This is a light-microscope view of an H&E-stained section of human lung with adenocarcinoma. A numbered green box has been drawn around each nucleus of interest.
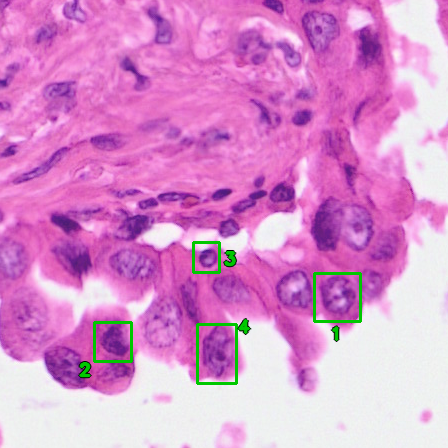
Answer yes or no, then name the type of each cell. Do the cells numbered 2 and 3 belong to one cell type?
No, cell 2 is identified as a carcinoma cell, and cell 3 is identified as a lymphocyte.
